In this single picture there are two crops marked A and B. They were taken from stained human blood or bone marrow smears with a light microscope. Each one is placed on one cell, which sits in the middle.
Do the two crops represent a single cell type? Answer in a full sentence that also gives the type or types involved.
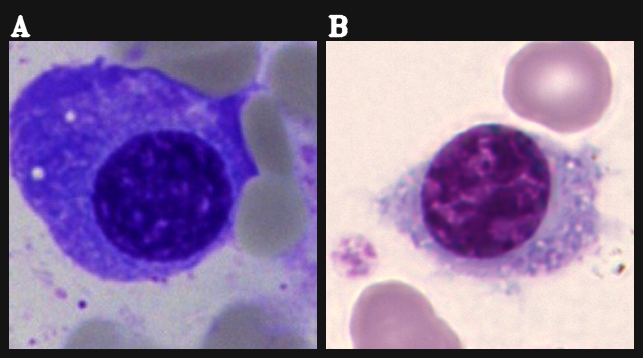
Yes, both crops show plasma cells as their central cells.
